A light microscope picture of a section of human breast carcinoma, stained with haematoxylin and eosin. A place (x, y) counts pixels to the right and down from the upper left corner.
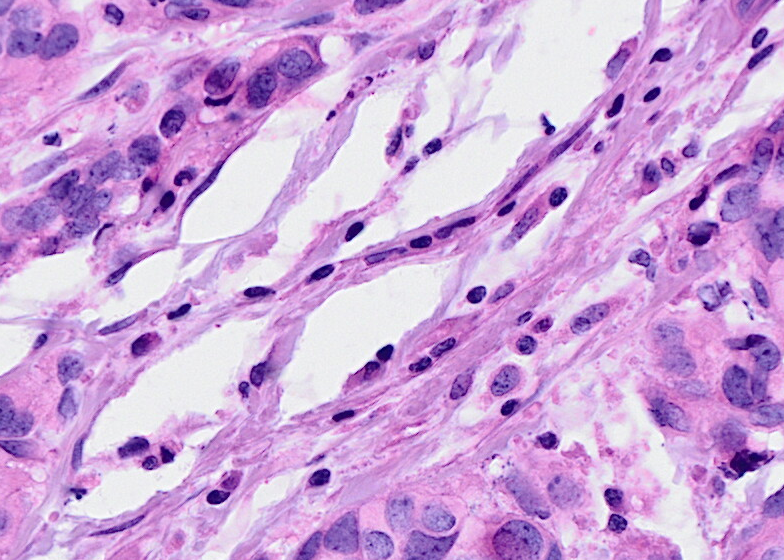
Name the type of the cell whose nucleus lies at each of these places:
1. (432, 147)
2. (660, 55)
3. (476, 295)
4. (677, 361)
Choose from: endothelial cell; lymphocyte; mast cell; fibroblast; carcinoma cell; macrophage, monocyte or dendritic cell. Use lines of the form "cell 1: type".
cell 1: lymphocyte
cell 2: lymphocyte
cell 3: lymphocyte
cell 4: carcinoma cell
